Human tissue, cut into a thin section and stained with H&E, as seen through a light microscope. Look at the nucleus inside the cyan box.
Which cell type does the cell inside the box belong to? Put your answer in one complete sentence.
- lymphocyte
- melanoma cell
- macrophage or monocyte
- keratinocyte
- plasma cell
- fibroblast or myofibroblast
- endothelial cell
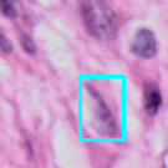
Just put down that the cell inside the box is a fibroblast or myofibroblast.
